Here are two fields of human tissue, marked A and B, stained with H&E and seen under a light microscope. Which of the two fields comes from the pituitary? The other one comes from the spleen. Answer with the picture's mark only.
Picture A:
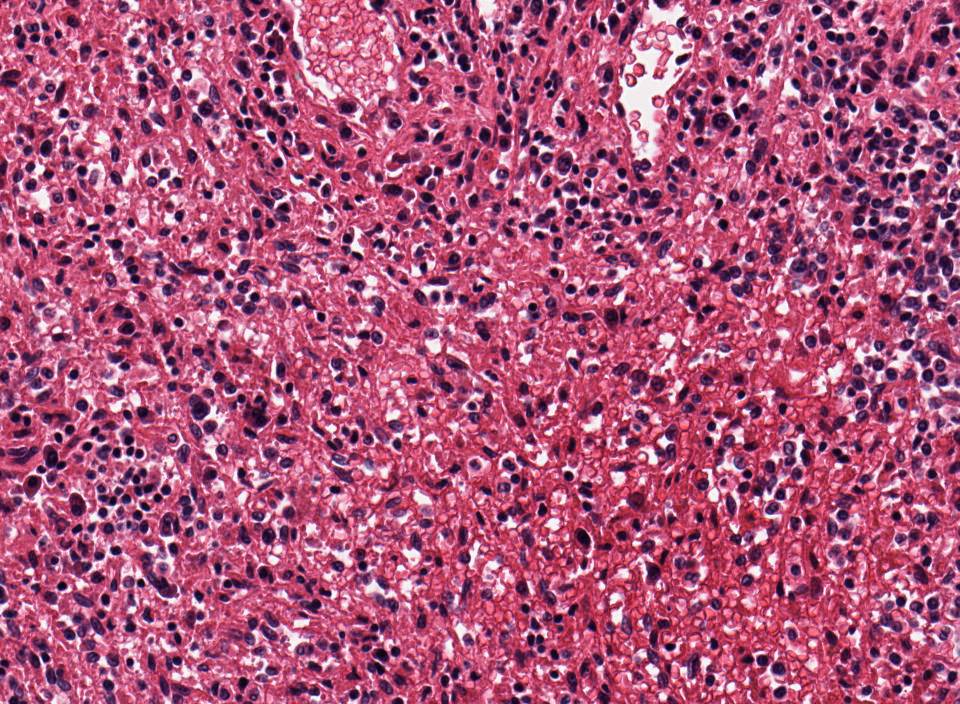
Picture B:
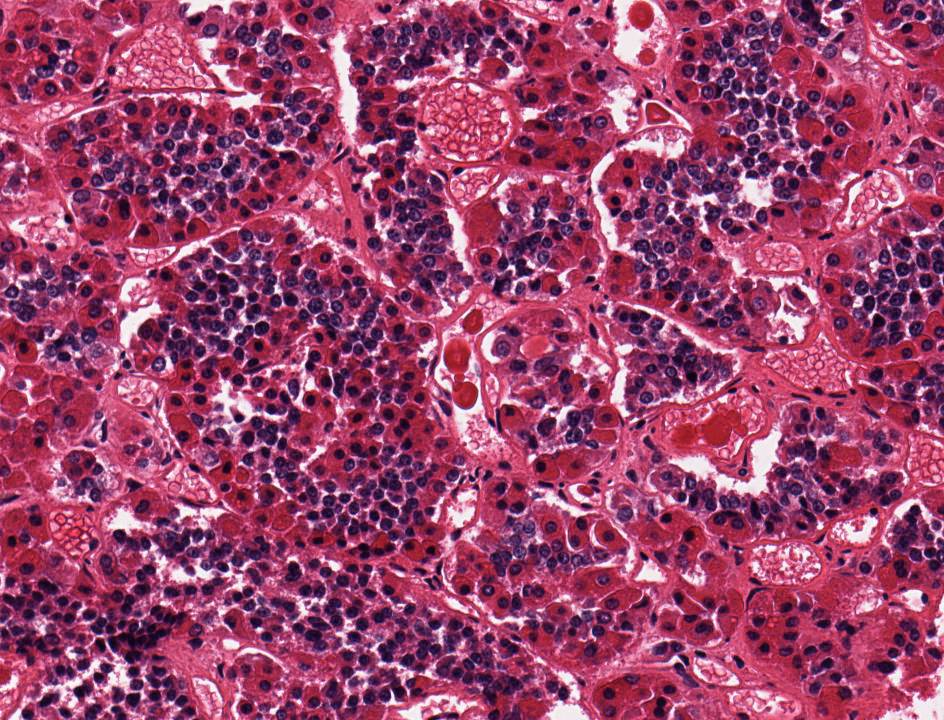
B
